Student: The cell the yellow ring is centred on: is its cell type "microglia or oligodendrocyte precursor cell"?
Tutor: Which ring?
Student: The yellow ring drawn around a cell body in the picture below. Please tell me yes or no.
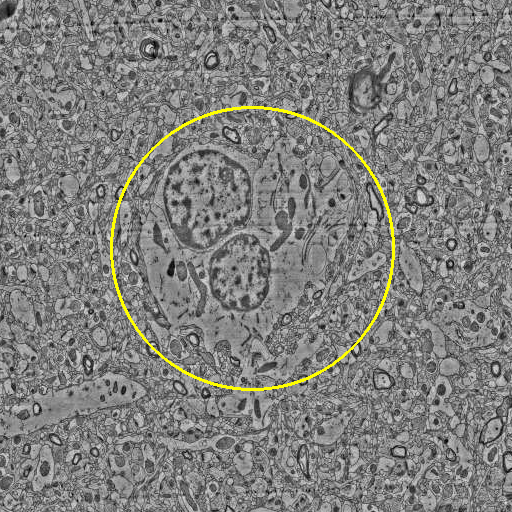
no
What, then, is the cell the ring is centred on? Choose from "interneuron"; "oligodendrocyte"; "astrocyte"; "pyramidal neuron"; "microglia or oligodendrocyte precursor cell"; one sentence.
The answer is that the ringed cell is an astrocyte.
